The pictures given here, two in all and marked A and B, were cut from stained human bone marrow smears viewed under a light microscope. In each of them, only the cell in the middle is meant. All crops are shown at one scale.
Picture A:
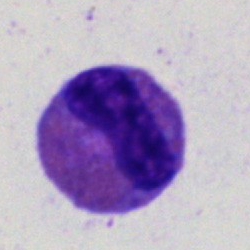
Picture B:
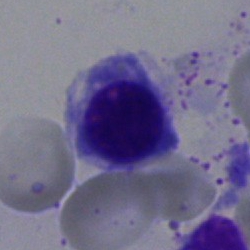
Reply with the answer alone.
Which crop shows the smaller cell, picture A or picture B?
B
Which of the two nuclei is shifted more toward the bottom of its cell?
B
